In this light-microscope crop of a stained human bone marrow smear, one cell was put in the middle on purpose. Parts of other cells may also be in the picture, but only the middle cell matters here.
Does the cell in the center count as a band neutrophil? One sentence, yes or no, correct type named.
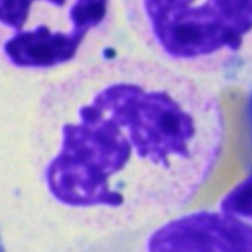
No, it is a segmented neutrophil that sits in the middle, not a band neutrophil.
